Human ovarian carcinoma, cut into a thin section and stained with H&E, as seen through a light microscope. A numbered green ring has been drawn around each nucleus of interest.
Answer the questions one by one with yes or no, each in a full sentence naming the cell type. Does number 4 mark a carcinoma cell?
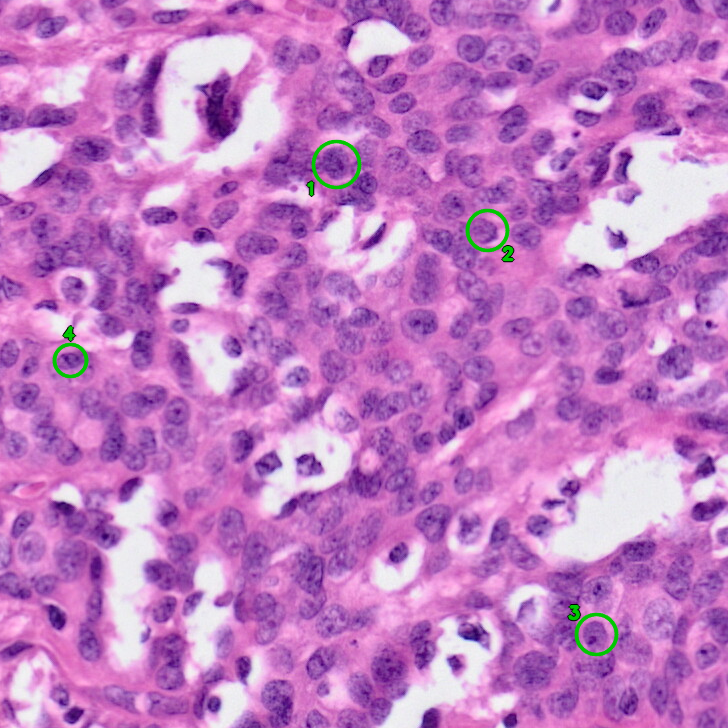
No, the cell given number 4 is a macrophage or monocyte, as opposed to a carcinoma cell.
